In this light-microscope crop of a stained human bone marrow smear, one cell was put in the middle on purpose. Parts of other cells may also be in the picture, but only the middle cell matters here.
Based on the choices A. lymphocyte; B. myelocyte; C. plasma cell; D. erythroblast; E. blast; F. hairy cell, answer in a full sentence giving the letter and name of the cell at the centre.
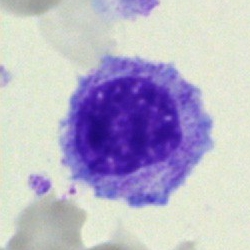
Since the cell in the middle is a myelocyte, option B is correct.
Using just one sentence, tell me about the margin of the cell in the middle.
The cell shows an uneven border, formed by ragged areas or by outward projections.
